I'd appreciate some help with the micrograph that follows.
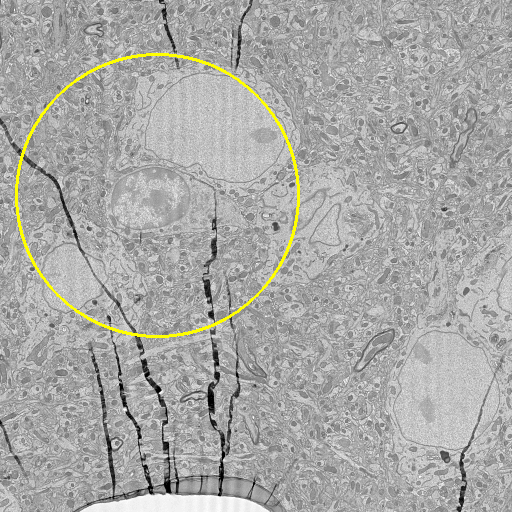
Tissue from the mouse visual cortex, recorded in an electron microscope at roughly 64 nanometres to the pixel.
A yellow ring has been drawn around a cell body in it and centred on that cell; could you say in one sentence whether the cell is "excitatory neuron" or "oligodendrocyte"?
It is an oligodendrocyte at the centre of the ring.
